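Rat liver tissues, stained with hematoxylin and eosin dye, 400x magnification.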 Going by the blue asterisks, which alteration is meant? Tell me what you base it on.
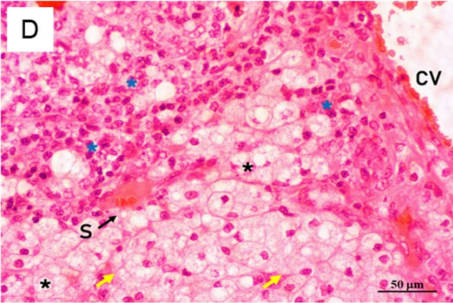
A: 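Lobular inflammation. A dense band of small cells with dark round nuclei lies between hepatocytes.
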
